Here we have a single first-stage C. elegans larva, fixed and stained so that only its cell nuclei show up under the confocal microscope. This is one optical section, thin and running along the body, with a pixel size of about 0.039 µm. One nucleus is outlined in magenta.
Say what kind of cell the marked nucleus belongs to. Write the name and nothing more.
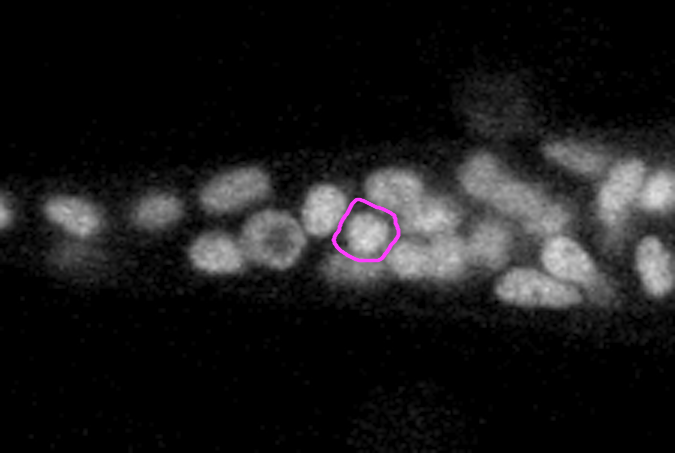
glial cell (sheath or socket)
